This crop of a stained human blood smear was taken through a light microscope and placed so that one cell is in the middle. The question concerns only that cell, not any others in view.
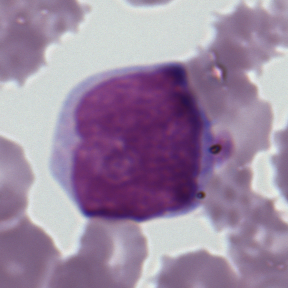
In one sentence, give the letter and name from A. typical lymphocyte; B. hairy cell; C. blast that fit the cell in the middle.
Well, the cell in the middle is a blast, making option C right.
